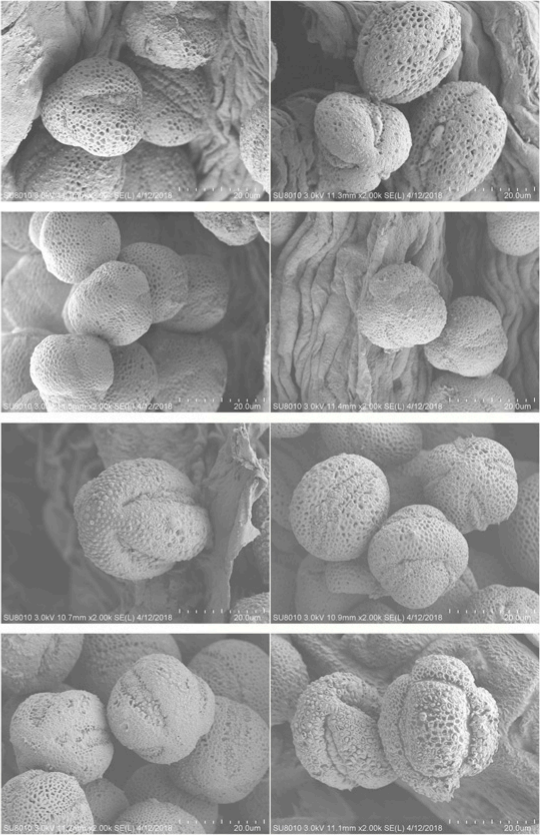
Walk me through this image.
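Pollen grains at high magnification are rounded to somewhat lobed. Their outer wall is covered by a fine net-like sculpturing of small pits, and it is divided by long furrows. The grains lie in clusters on a wrinkled, folded background surface.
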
